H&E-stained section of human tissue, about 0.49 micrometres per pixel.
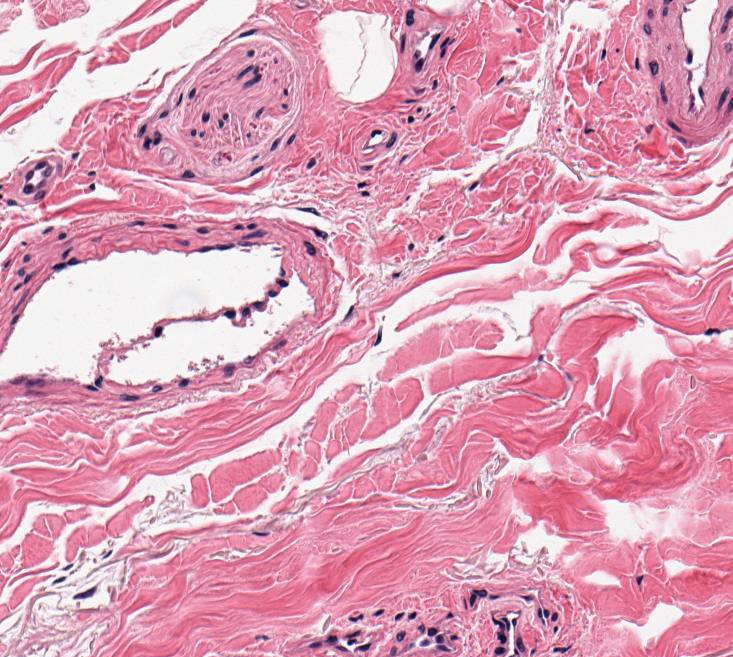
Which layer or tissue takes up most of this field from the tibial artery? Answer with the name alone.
tunica adventitia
